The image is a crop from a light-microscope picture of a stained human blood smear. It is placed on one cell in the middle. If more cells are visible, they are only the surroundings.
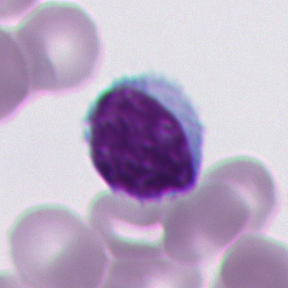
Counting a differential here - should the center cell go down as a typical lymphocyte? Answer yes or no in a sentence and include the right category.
Yes, the crop's central cell is a typical lymphocyte.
